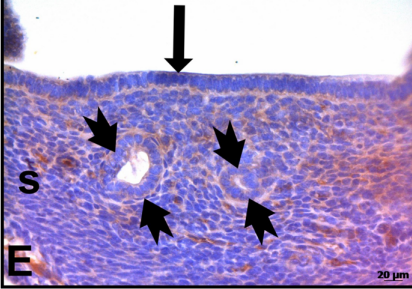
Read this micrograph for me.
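Surface epithelium runs along the top, with stroma beneath it that holds small glands. The epithelium is a single row of columnar cells with closely set, elongated blue nuclei. The stroma below contains many oval nuclei, with patchy brown staining that is stronger toward the right side. Within the stroma are small glands, each made of a ring of cuboidal cells around a small central opening.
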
